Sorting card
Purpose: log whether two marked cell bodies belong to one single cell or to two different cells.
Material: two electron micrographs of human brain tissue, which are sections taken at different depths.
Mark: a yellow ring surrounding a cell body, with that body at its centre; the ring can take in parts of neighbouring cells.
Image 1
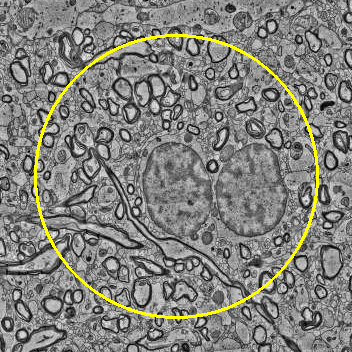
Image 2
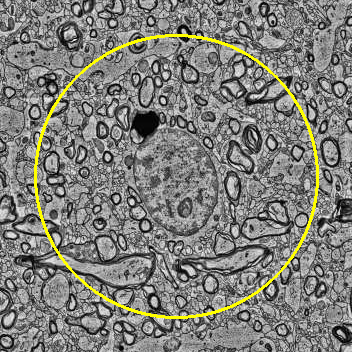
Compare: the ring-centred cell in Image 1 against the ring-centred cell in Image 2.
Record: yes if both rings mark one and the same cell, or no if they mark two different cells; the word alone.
yes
